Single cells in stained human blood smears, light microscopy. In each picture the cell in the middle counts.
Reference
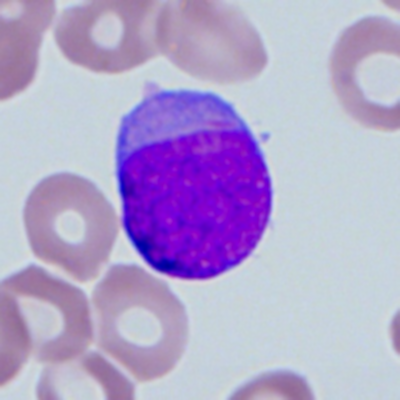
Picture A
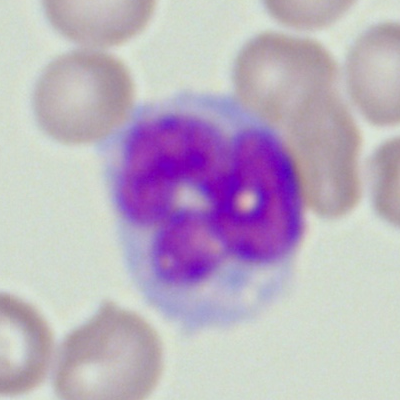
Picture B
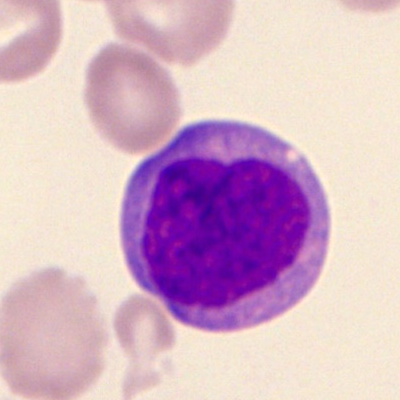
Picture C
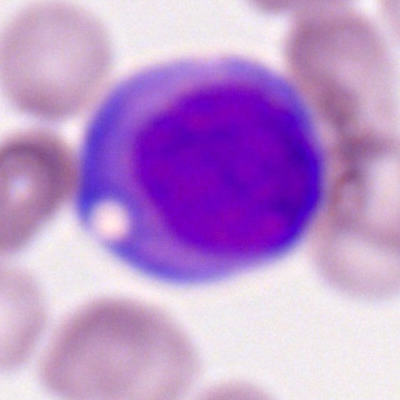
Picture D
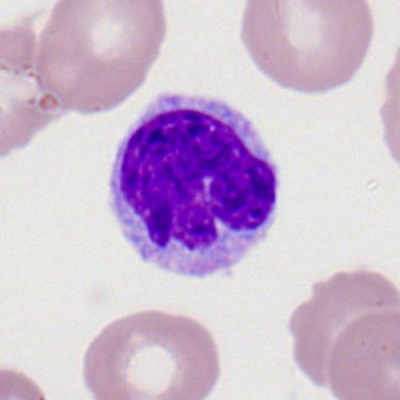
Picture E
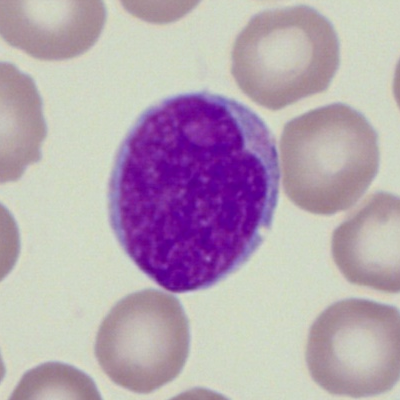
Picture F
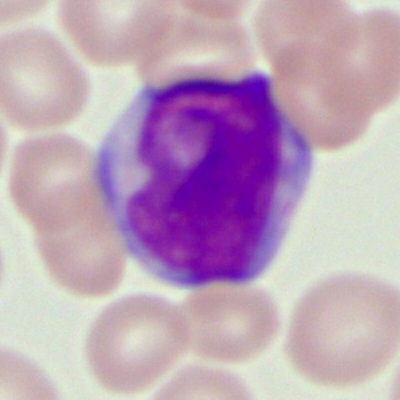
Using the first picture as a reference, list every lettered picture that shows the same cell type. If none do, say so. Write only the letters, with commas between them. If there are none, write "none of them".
C, E, F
